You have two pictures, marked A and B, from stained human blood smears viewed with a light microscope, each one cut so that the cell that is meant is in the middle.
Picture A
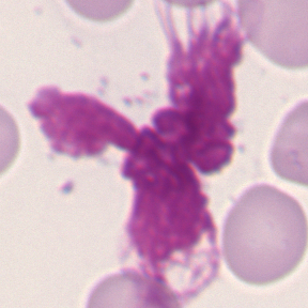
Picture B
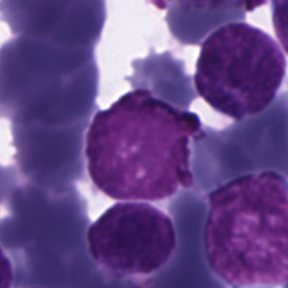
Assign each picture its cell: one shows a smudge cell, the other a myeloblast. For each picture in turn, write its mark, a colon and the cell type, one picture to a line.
A: smudge cell
B: myeloblast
